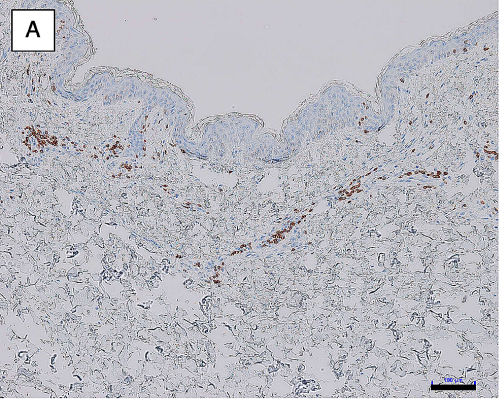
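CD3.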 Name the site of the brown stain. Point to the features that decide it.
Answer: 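Brown-stained cells line up in narrow bands along vessels in the dermis. The collagen between the vessels holds few brown cells.
Answer: perivascular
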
